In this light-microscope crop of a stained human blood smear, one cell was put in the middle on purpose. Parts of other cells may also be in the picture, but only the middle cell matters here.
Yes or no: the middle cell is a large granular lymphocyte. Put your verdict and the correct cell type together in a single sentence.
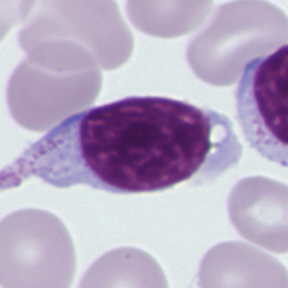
Yes, shown in the middle of the crop is a large granular lymphocyte.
